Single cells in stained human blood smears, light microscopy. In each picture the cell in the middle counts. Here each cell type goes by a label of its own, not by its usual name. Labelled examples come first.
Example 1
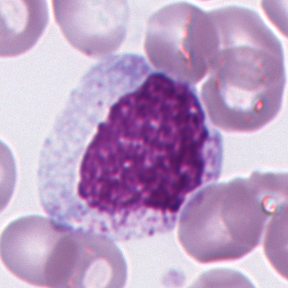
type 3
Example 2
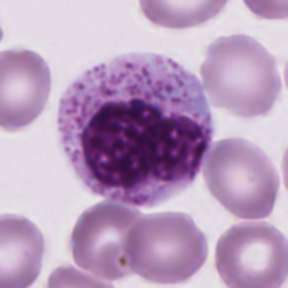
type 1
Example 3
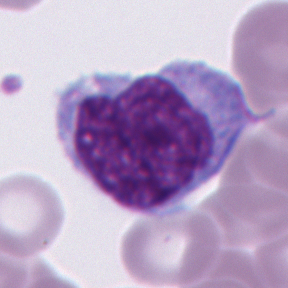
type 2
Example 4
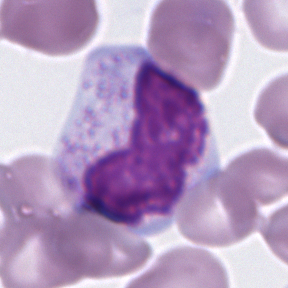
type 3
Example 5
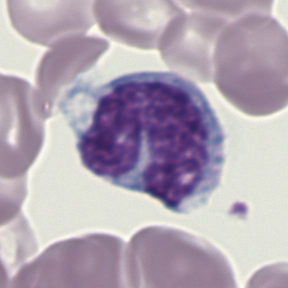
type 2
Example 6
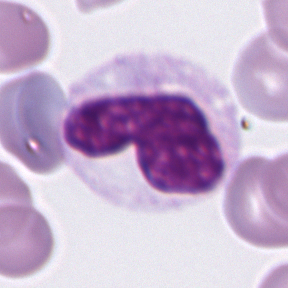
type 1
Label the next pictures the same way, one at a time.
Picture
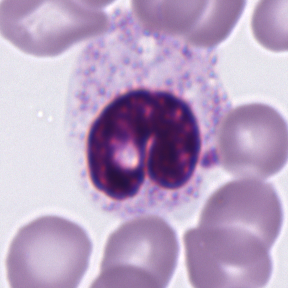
type 1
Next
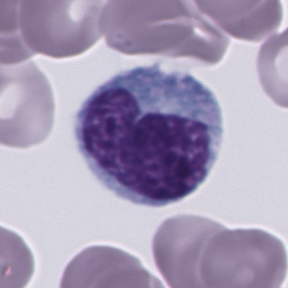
type 2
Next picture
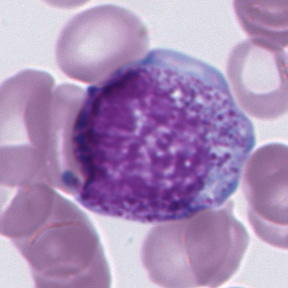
type 3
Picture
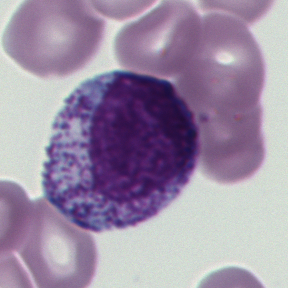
type 3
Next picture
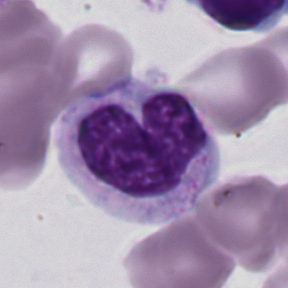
type 1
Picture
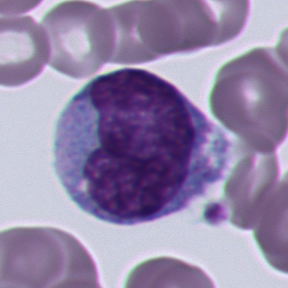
type 2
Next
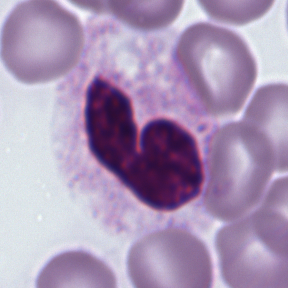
type 1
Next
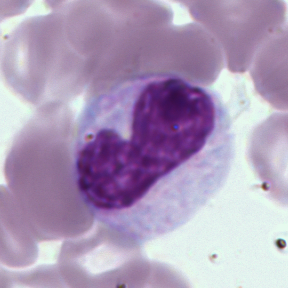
type 1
